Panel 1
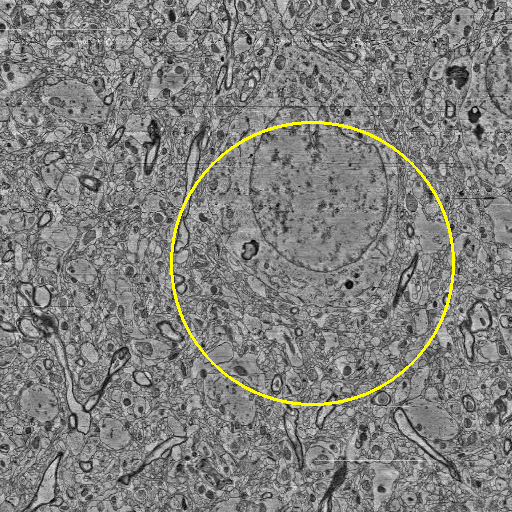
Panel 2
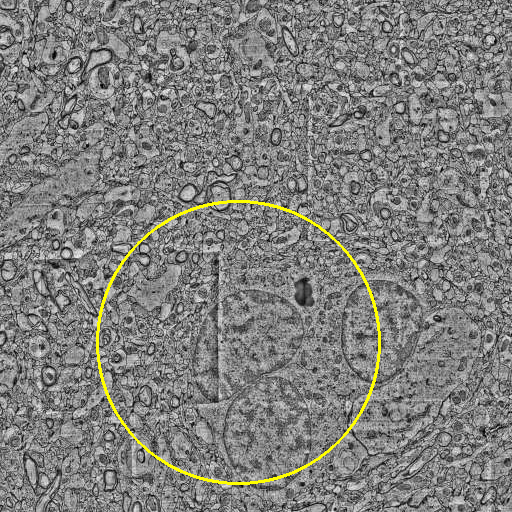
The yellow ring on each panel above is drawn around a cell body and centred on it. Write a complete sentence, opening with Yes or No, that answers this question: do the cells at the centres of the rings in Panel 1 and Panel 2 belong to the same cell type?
No, the two cells belong to two cell types.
